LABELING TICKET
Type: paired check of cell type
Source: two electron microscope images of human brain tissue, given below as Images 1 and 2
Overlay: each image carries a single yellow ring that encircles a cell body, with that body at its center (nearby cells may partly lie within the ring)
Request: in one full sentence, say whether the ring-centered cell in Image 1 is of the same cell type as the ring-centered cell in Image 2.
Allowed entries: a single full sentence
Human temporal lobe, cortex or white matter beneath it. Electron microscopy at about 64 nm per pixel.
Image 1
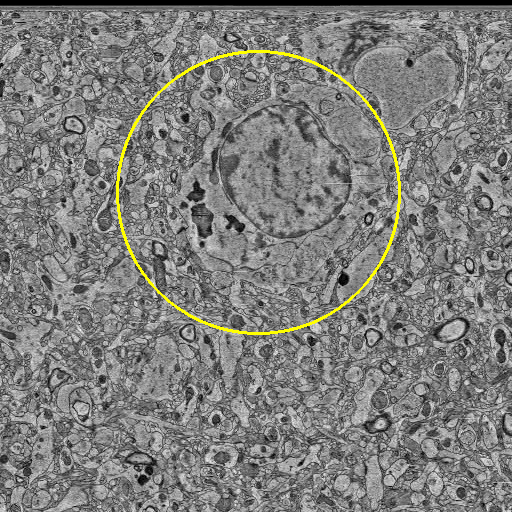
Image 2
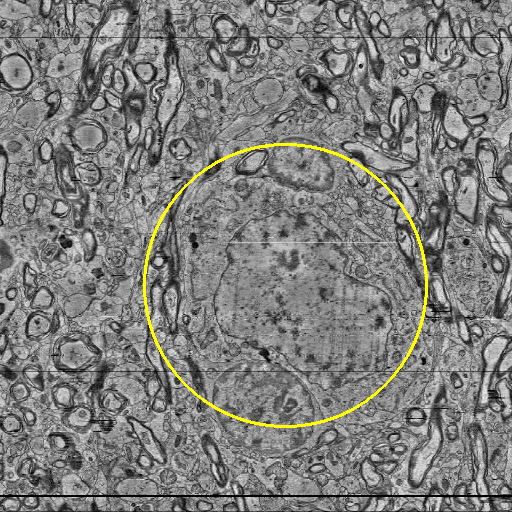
No, the cells centered in the rings of Image 1 and Image 2 are of two types.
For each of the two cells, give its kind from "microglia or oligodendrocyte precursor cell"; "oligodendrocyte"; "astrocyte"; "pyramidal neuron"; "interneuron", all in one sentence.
The first picture has an astrocyte in its ring, the second has an interneuron.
